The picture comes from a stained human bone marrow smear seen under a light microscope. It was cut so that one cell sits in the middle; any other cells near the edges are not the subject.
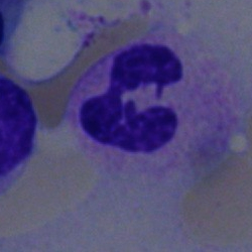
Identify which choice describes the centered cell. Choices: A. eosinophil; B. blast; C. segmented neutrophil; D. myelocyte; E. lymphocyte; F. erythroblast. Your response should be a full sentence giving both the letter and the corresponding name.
According to option C, which is correct, the cell in the middle is a segmented neutrophil.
